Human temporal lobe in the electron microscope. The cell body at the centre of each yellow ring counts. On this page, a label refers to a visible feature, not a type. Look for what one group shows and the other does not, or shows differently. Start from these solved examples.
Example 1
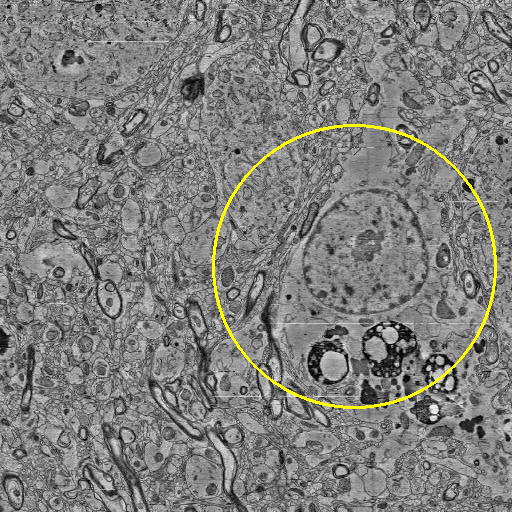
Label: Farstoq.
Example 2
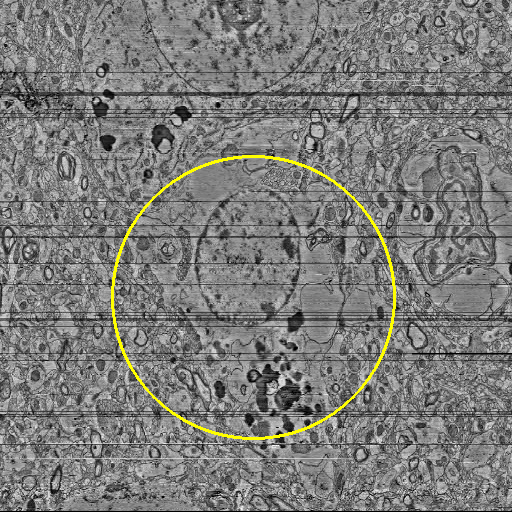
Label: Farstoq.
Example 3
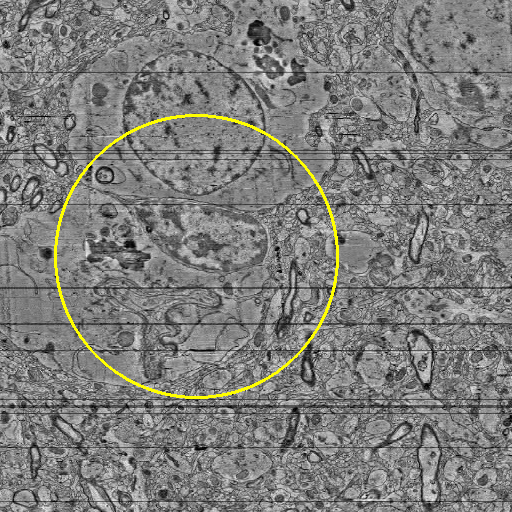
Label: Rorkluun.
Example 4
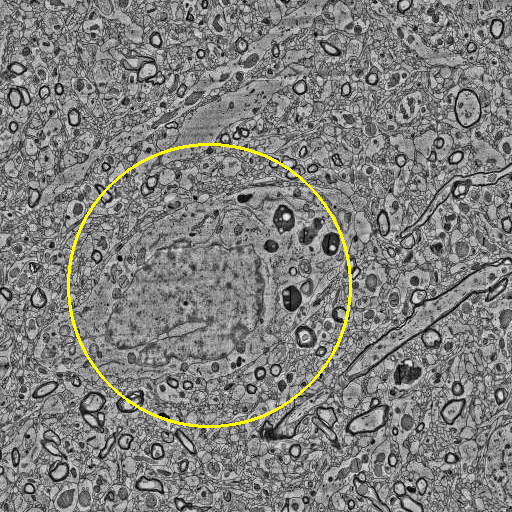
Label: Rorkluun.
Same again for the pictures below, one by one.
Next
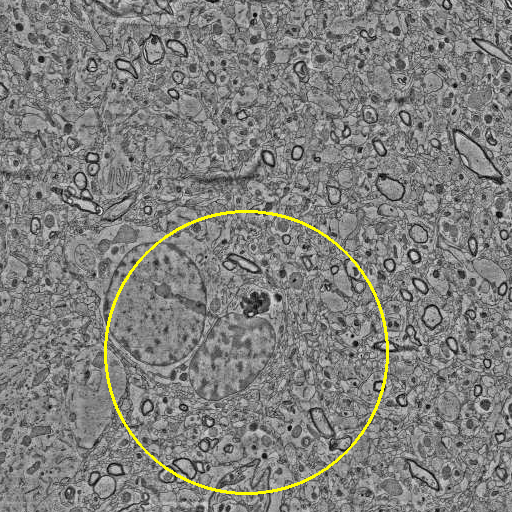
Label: Farstoq.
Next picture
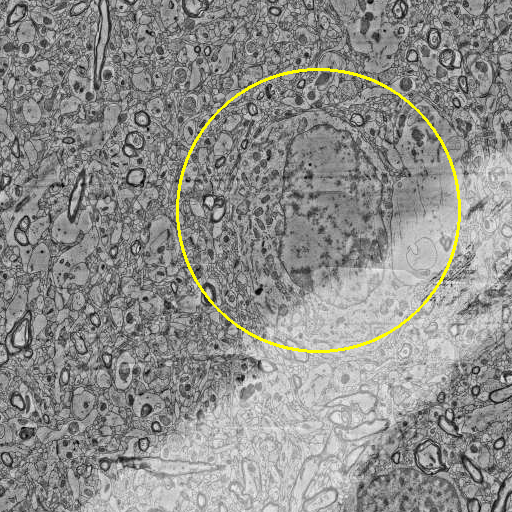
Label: Rorkluun.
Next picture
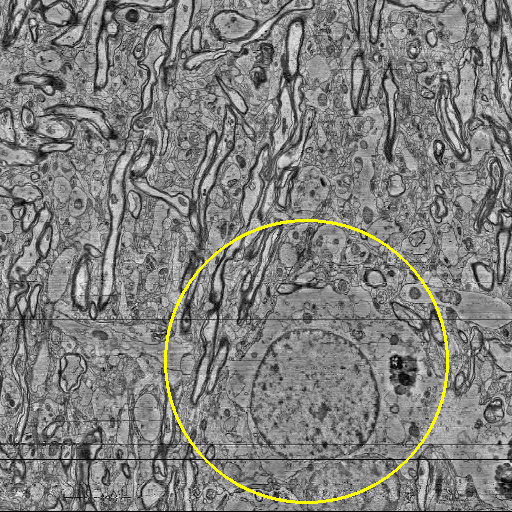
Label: Farstoq.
